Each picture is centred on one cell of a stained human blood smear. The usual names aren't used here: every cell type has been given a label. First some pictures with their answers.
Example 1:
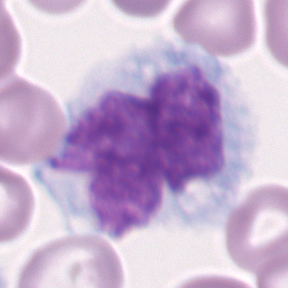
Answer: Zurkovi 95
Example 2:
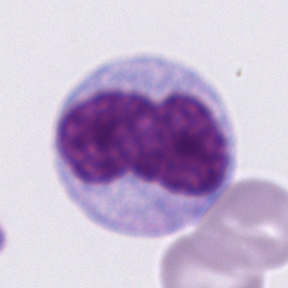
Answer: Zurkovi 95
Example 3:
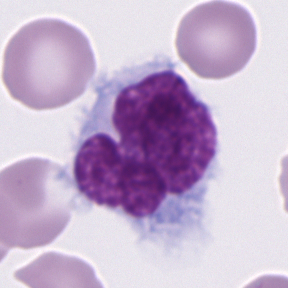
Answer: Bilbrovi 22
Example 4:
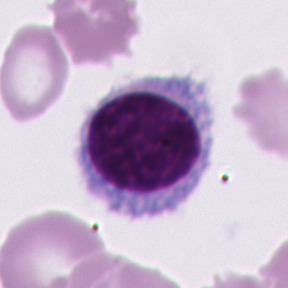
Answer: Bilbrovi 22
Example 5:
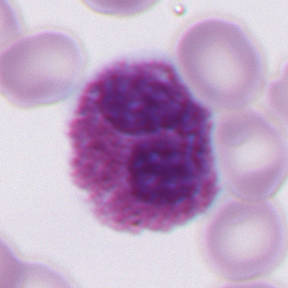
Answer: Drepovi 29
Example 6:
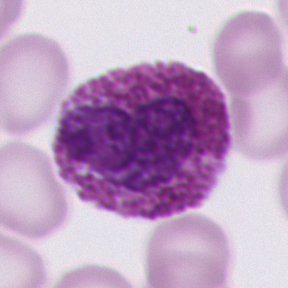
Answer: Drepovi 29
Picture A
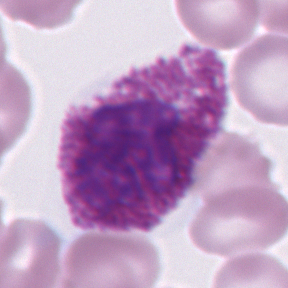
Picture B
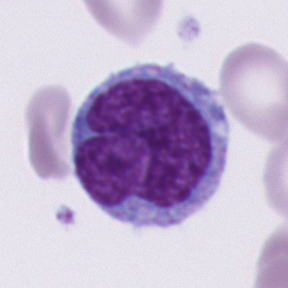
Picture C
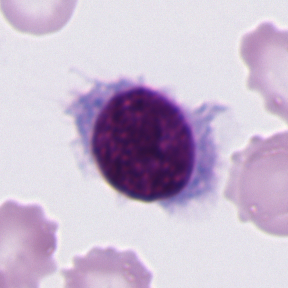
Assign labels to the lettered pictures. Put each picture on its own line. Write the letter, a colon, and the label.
A: Drepovi 29
B: Zurkovi 95
C: Bilbrovi 22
